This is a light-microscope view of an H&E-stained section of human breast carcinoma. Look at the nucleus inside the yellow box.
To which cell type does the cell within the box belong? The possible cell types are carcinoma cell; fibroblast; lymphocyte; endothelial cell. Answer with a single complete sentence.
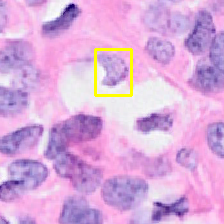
In this tissue sample, the cell within the box is a carcinoma cell.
